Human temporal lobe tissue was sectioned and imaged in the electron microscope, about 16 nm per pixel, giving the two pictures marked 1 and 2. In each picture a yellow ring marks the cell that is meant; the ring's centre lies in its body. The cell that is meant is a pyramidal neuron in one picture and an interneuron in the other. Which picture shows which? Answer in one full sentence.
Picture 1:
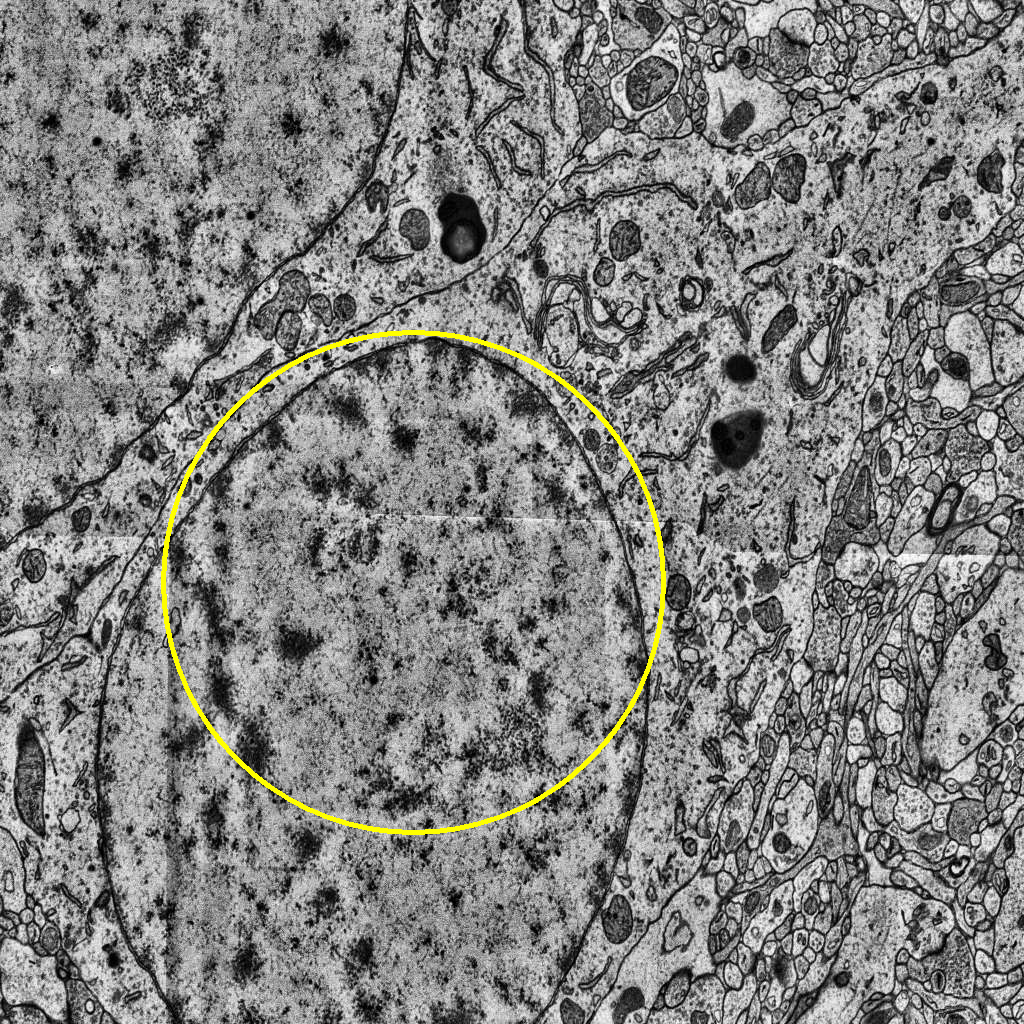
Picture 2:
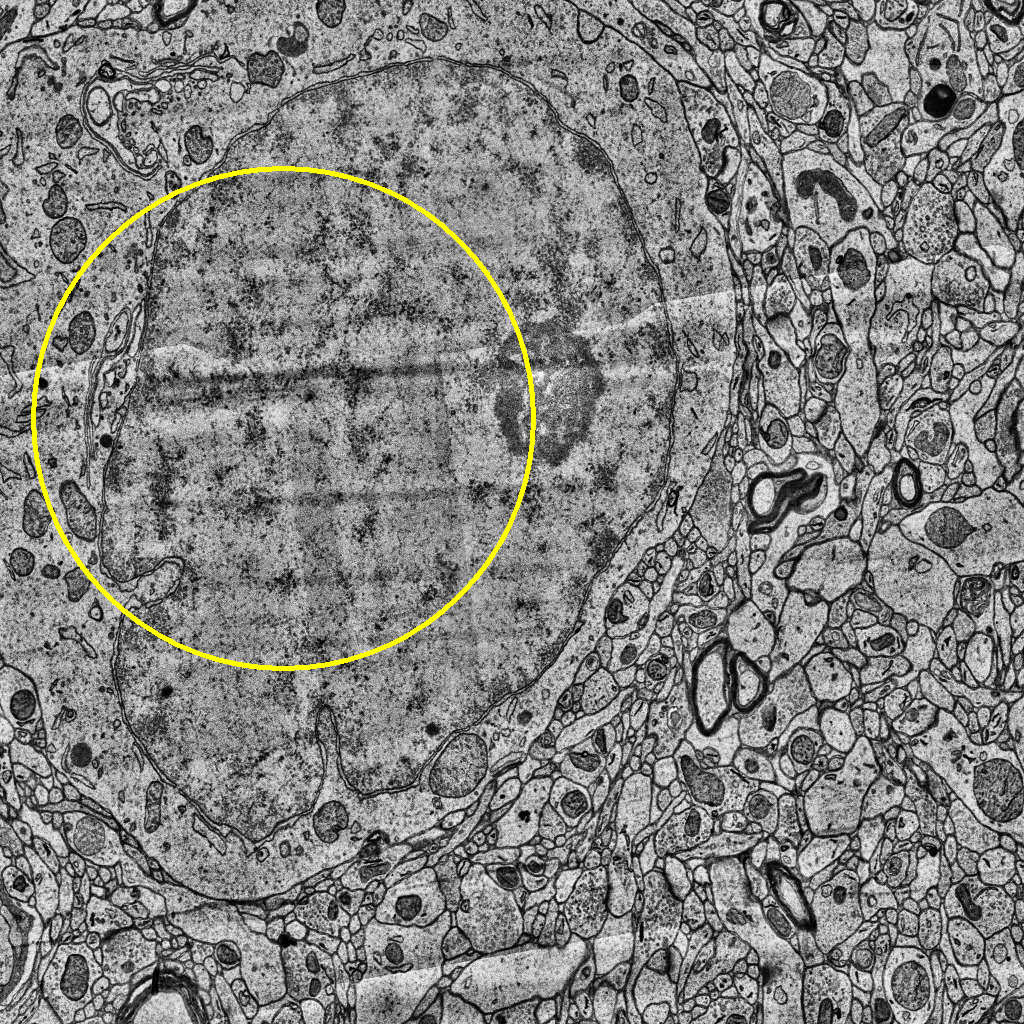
The cell in picture 1 is a pyramidal neuron, and the one in picture 2 is an interneuron.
